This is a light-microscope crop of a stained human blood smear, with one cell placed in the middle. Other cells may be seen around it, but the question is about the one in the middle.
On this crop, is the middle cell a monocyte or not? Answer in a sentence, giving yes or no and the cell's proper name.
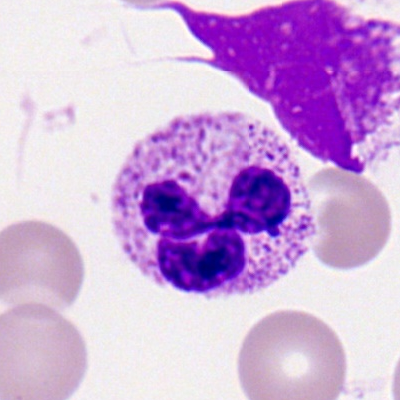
No, what lies at the heart of the crop is a segmented neutrophil, not a monocyte.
